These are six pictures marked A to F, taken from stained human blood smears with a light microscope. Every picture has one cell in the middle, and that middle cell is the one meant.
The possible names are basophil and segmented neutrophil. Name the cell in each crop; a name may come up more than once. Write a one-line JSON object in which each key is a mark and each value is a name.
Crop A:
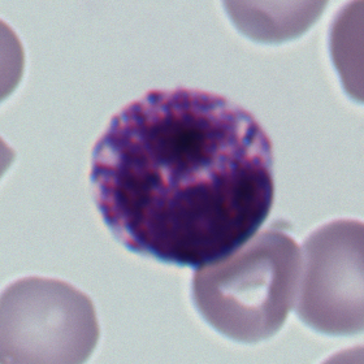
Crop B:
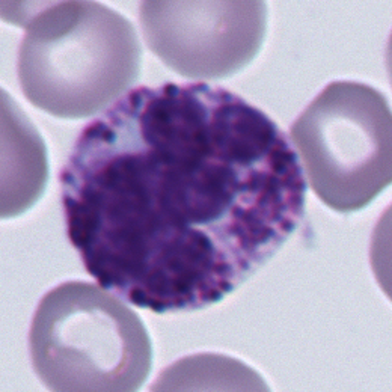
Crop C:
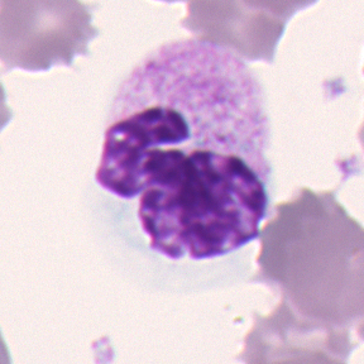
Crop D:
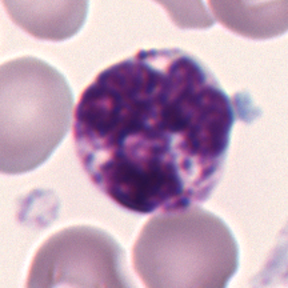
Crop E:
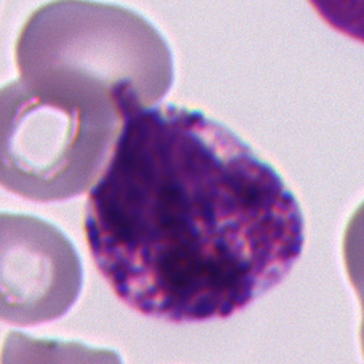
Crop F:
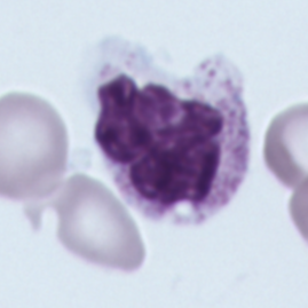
{"A": "basophil", "B": "basophil", "C": "segmented neutrophil", "D": "basophil", "E": "basophil", "F": "segmented neutrophil"}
